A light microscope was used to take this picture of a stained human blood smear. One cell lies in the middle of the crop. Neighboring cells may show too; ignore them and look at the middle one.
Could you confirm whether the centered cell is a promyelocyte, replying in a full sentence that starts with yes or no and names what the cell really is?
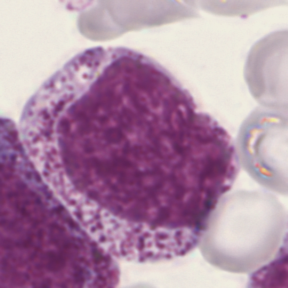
Yes, the central cell of this crop corresponds to a promyelocyte.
